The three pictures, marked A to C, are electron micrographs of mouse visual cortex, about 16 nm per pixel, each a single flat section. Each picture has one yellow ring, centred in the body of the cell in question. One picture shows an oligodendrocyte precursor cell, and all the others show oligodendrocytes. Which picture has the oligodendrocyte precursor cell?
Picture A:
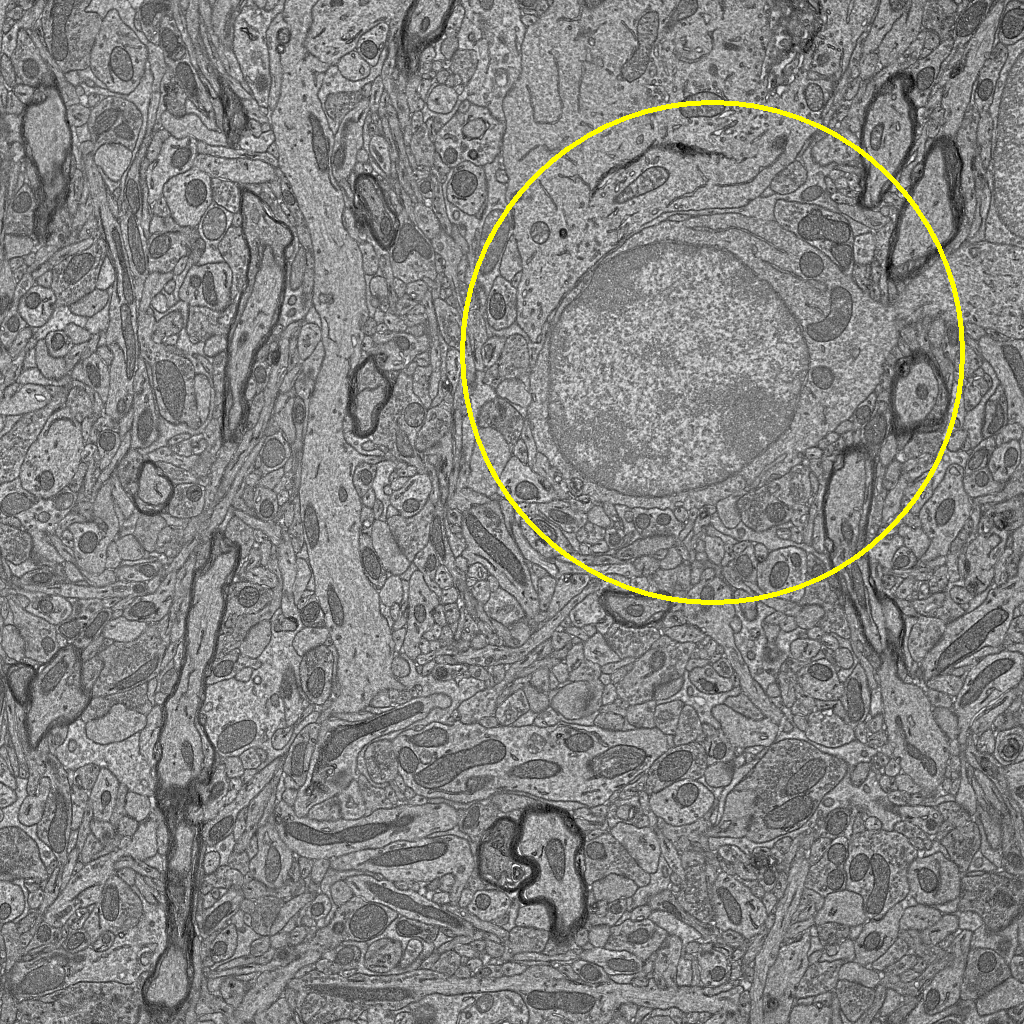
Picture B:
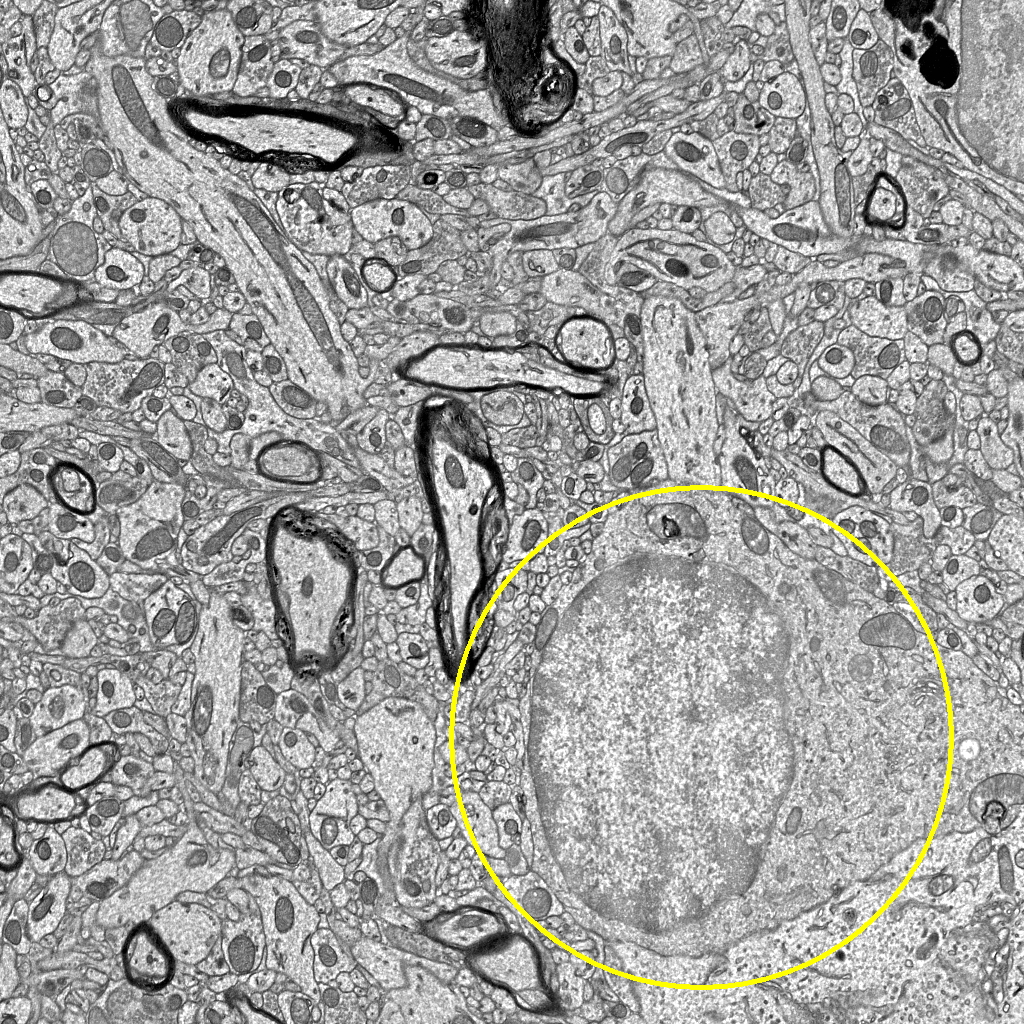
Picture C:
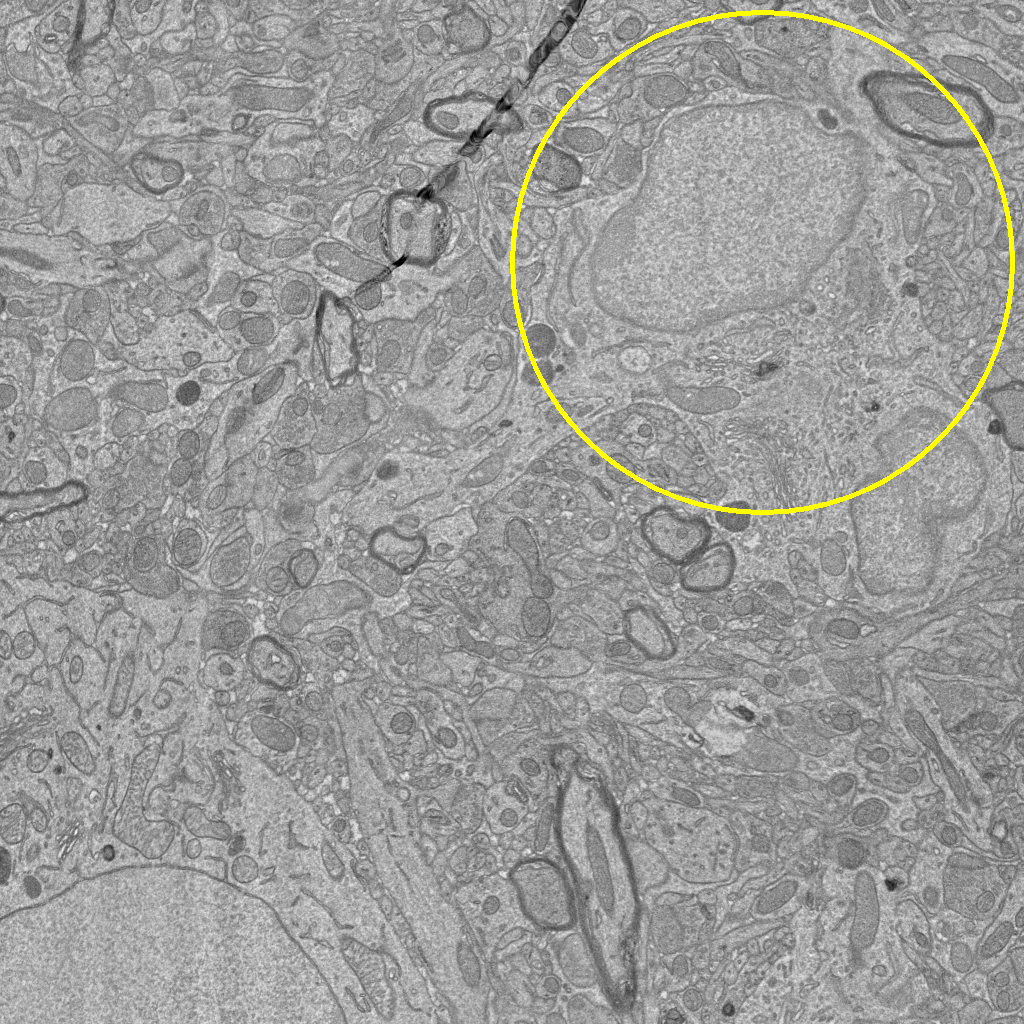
It is picture C that shows the oligodendrocyte precursor cell.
